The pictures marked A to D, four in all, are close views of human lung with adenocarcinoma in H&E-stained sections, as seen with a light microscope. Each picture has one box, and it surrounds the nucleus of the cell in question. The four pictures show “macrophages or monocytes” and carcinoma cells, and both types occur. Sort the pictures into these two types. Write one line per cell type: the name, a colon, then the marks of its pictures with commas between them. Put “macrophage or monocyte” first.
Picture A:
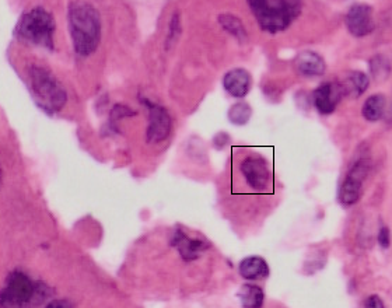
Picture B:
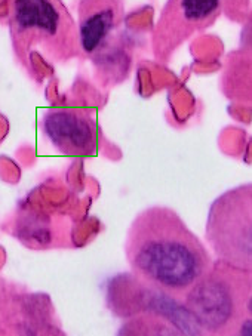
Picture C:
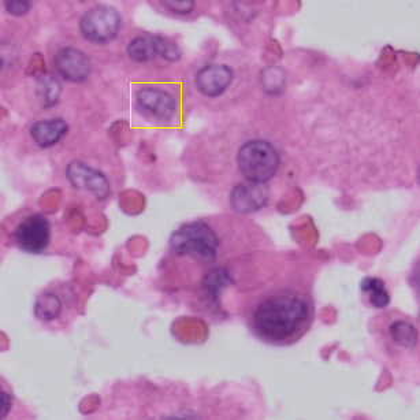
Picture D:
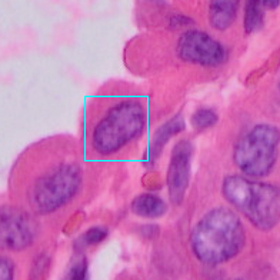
macrophage or monocyte: A, B, C
carcinoma cell: D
